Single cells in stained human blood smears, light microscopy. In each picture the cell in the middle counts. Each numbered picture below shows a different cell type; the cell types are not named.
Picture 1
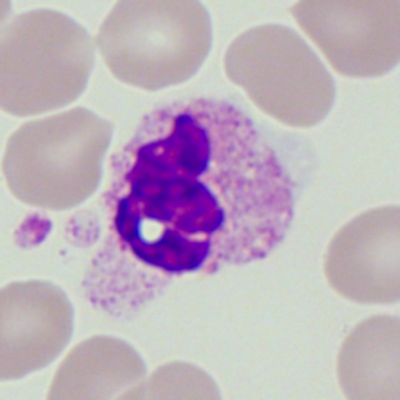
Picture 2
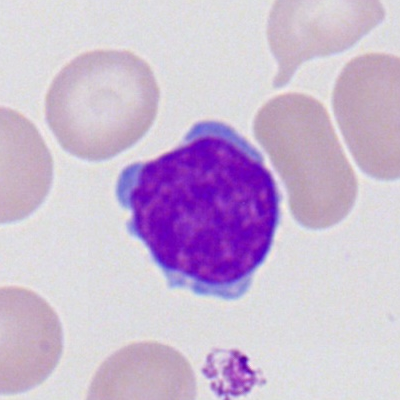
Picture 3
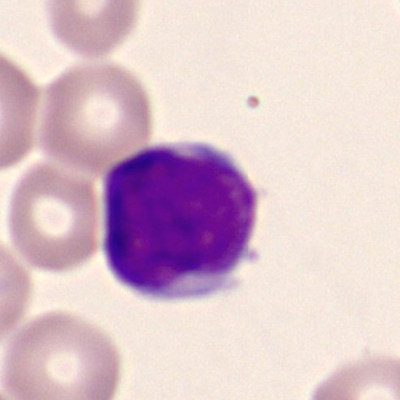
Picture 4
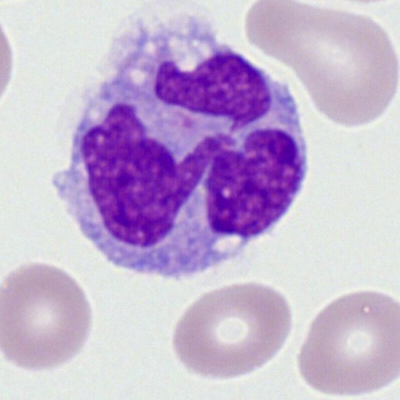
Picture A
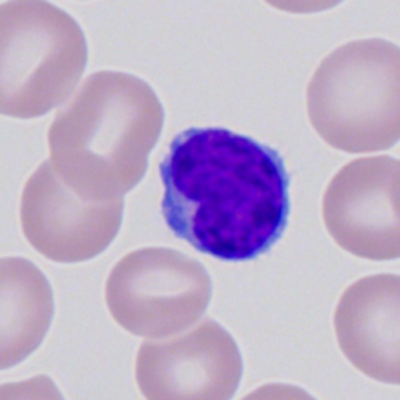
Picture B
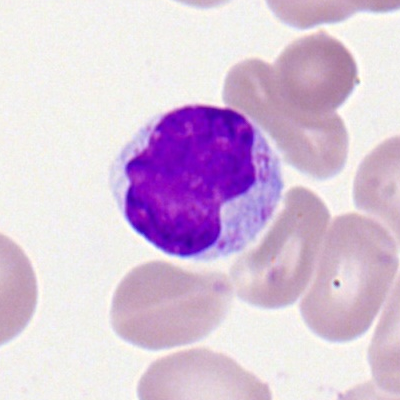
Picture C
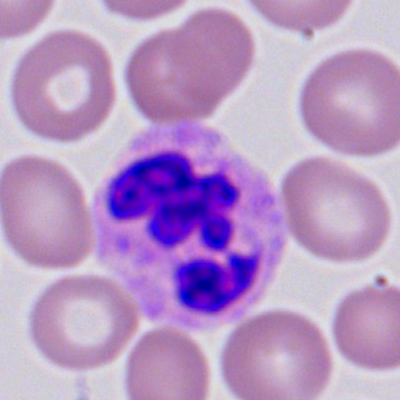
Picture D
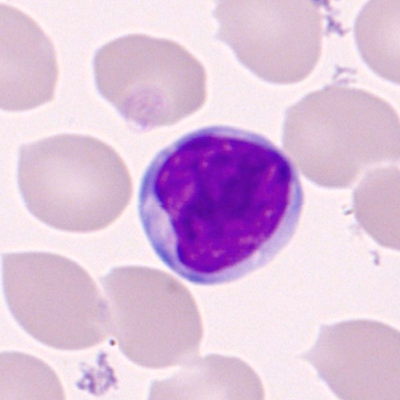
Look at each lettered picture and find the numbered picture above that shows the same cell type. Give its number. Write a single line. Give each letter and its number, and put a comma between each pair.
A 2, B 2, C 1, D 2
